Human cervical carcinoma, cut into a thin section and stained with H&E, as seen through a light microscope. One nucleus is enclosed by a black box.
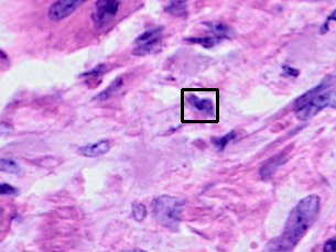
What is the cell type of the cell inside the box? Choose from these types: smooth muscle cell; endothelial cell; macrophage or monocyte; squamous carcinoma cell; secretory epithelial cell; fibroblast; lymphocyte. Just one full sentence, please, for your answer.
Students should answer that the cell inside the box is a fibroblast.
